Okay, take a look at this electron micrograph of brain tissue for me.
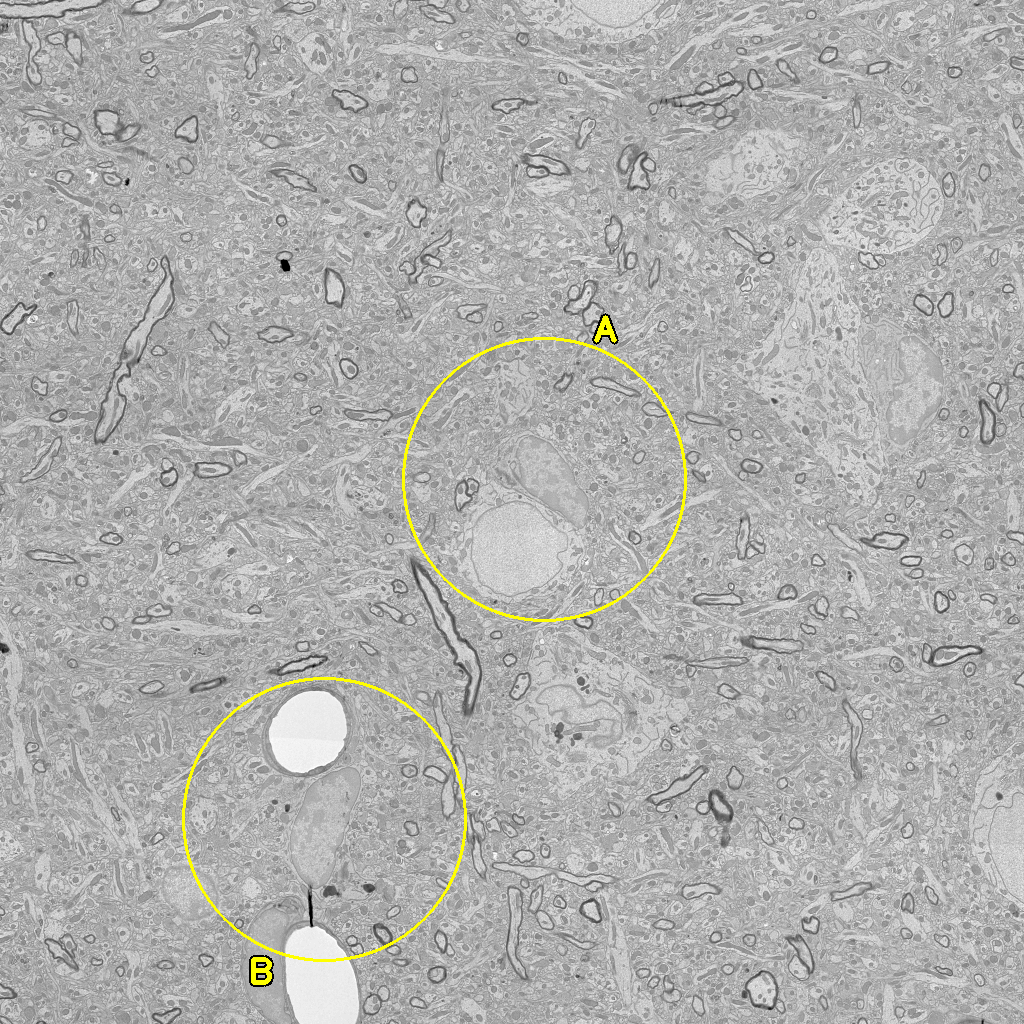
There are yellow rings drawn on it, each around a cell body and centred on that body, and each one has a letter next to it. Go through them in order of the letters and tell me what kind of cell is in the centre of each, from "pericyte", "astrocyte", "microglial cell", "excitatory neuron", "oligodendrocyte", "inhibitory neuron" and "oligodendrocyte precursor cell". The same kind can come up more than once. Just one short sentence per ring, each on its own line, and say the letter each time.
In the centre of ring A there's a microglial cell.
In the centre of ring B there's a microglial cell.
